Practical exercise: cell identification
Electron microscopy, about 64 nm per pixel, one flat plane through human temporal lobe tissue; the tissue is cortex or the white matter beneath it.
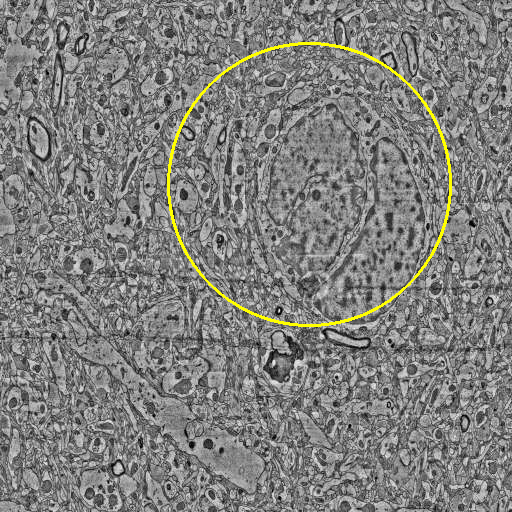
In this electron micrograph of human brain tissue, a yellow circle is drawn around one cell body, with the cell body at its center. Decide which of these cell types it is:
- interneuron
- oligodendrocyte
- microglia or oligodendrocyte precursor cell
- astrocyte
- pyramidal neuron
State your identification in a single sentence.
The ringed cell is an interneuron.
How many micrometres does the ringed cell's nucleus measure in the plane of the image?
In this plane the nucleus is about 13 micrometres by 10.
